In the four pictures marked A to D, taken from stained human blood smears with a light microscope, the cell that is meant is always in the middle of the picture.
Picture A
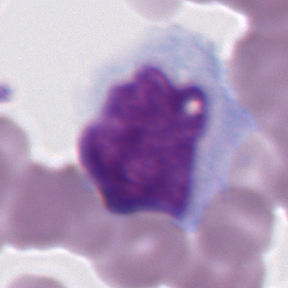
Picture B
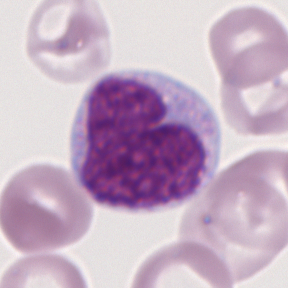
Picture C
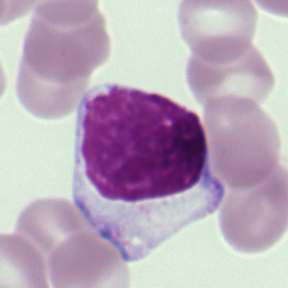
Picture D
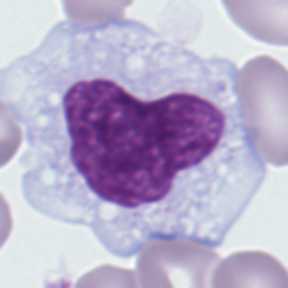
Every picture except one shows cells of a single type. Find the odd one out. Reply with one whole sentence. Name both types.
All pictures except C show monocytes; picture C shows a large granular lymphocyte.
